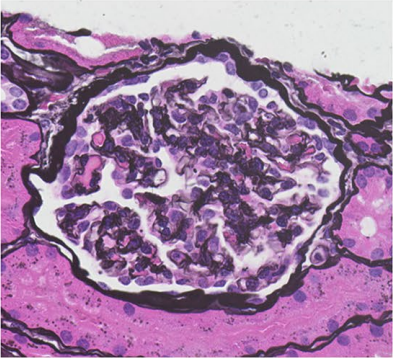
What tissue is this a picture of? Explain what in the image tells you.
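A rounded tuft of capillary loops sits inside a space lined by a capsule. Tubules surround the rounded structure. On this evidence: glomeruli.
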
